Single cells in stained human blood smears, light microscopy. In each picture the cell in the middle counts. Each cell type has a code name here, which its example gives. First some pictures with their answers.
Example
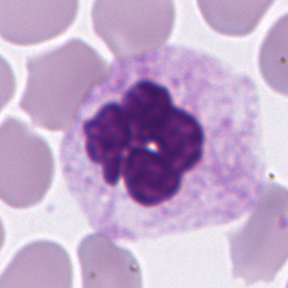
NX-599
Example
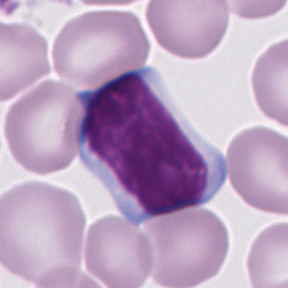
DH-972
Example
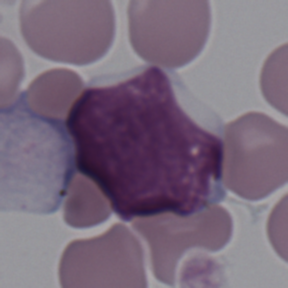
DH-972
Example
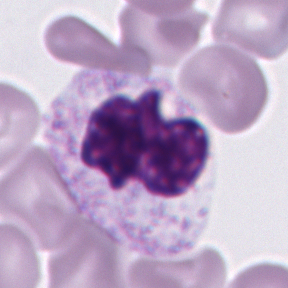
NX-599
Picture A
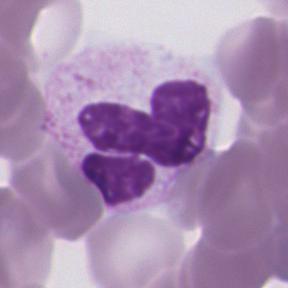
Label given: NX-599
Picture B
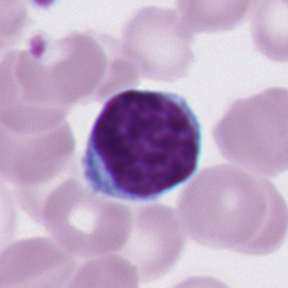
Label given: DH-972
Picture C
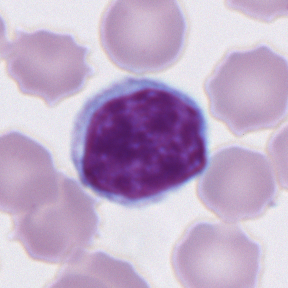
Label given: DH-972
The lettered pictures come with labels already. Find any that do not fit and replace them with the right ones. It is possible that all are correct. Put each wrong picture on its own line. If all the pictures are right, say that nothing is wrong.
All labels are correct.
